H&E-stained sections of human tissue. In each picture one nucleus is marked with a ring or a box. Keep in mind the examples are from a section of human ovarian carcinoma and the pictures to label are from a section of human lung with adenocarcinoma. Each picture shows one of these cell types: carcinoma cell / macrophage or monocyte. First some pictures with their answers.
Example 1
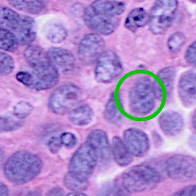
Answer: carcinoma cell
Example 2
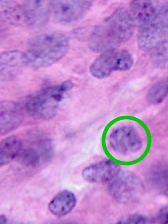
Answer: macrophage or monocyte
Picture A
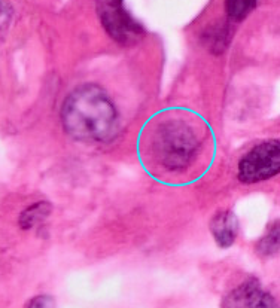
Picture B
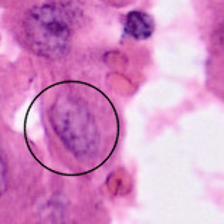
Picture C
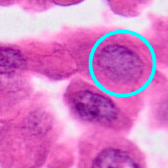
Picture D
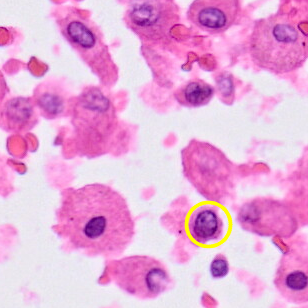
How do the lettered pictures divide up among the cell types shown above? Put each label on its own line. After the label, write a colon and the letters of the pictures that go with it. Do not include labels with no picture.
carcinoma cell: A, B, C
macrophage or monocyte: D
